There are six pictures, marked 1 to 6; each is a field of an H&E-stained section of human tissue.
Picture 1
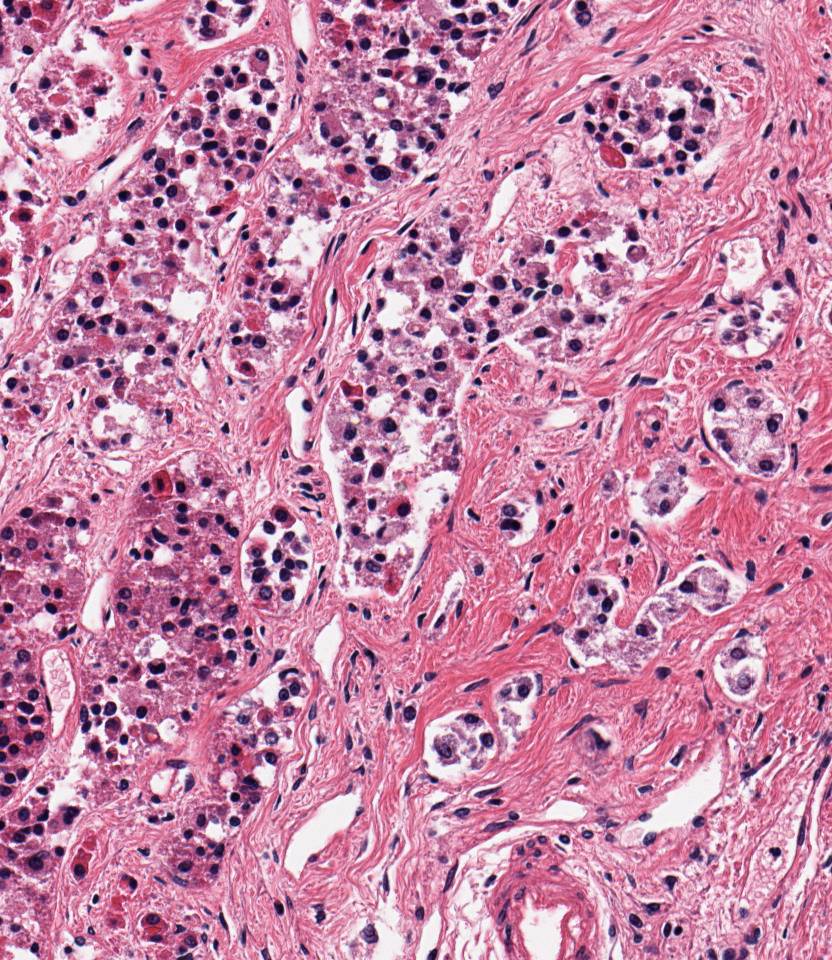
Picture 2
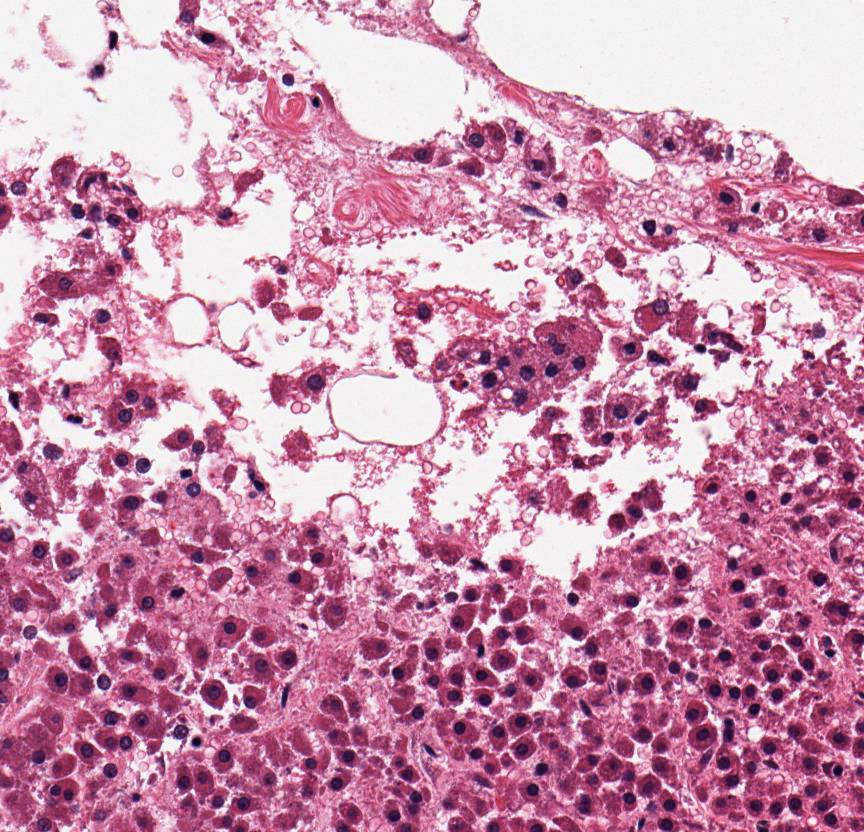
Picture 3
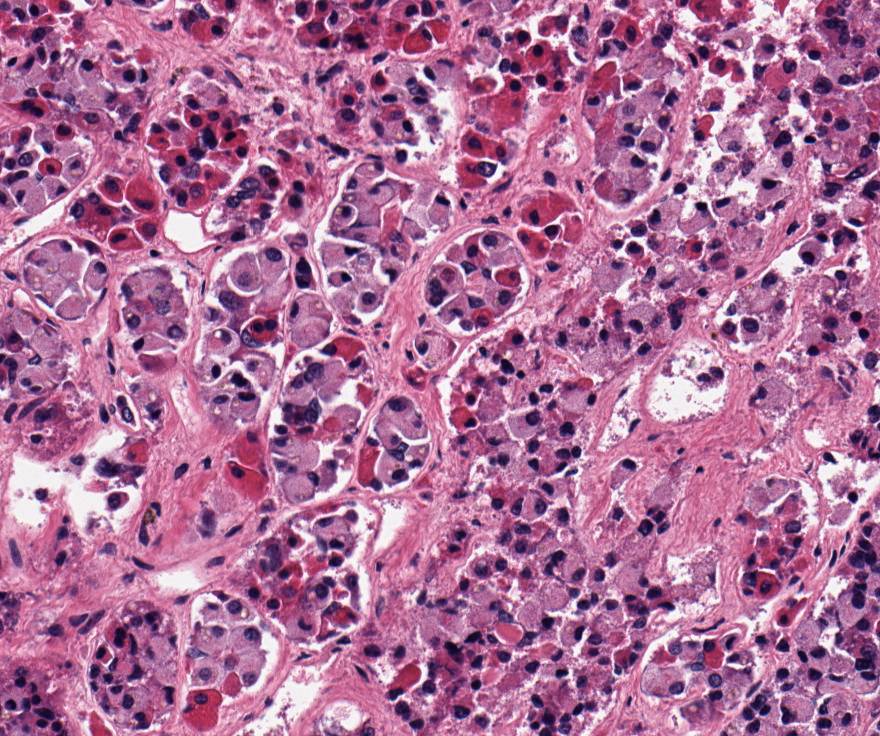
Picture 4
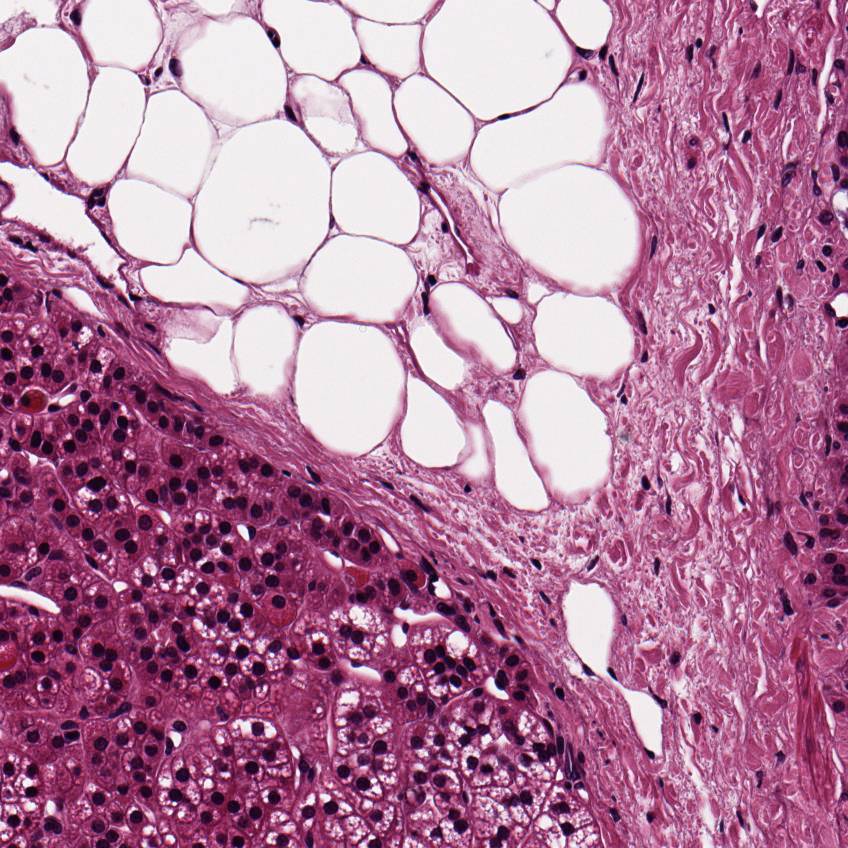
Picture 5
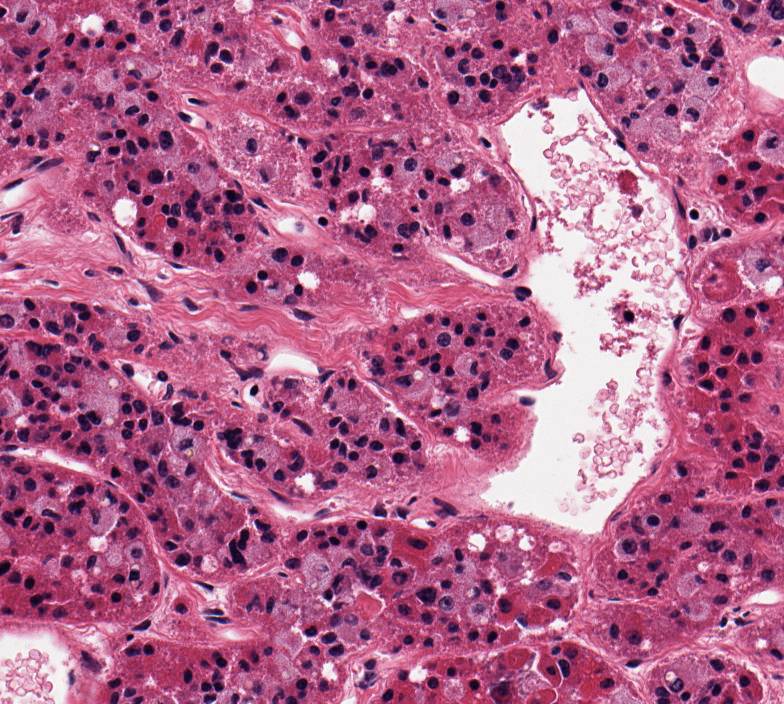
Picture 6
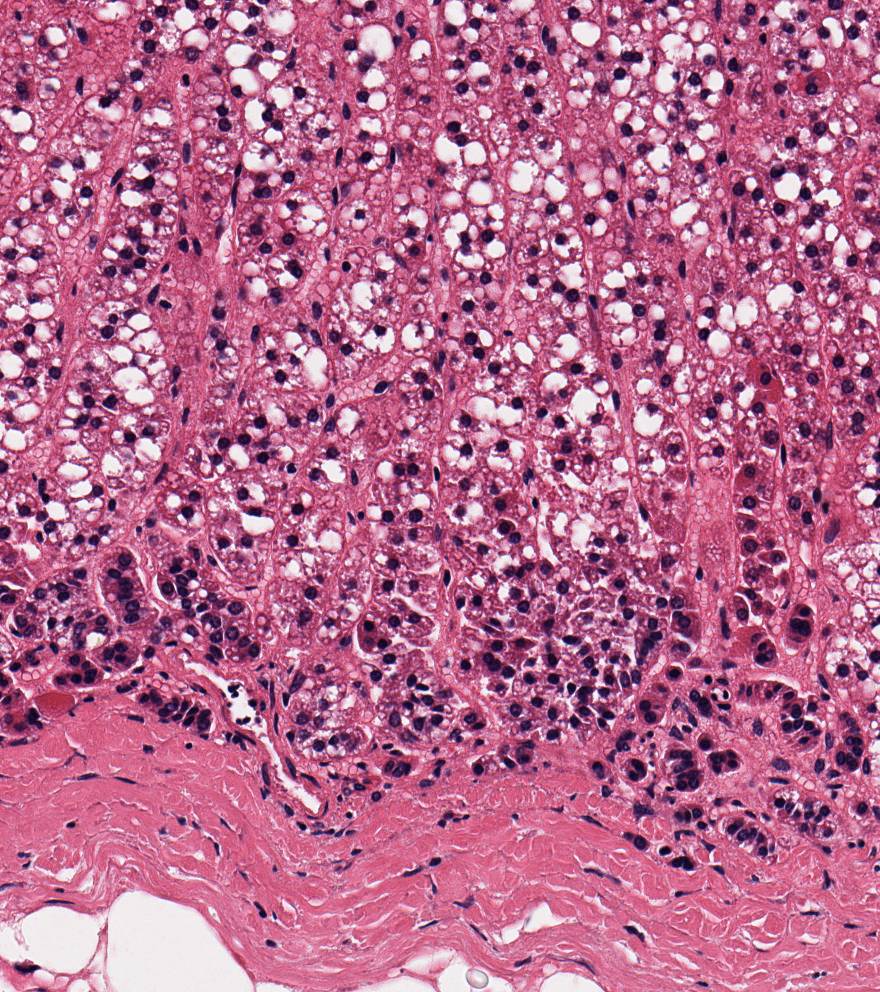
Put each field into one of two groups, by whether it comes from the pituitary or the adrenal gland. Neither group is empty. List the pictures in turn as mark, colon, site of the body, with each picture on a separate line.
1: pituitary
2: adrenal gland
3: pituitary
4: adrenal gland
5: pituitary
6: adrenal gland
